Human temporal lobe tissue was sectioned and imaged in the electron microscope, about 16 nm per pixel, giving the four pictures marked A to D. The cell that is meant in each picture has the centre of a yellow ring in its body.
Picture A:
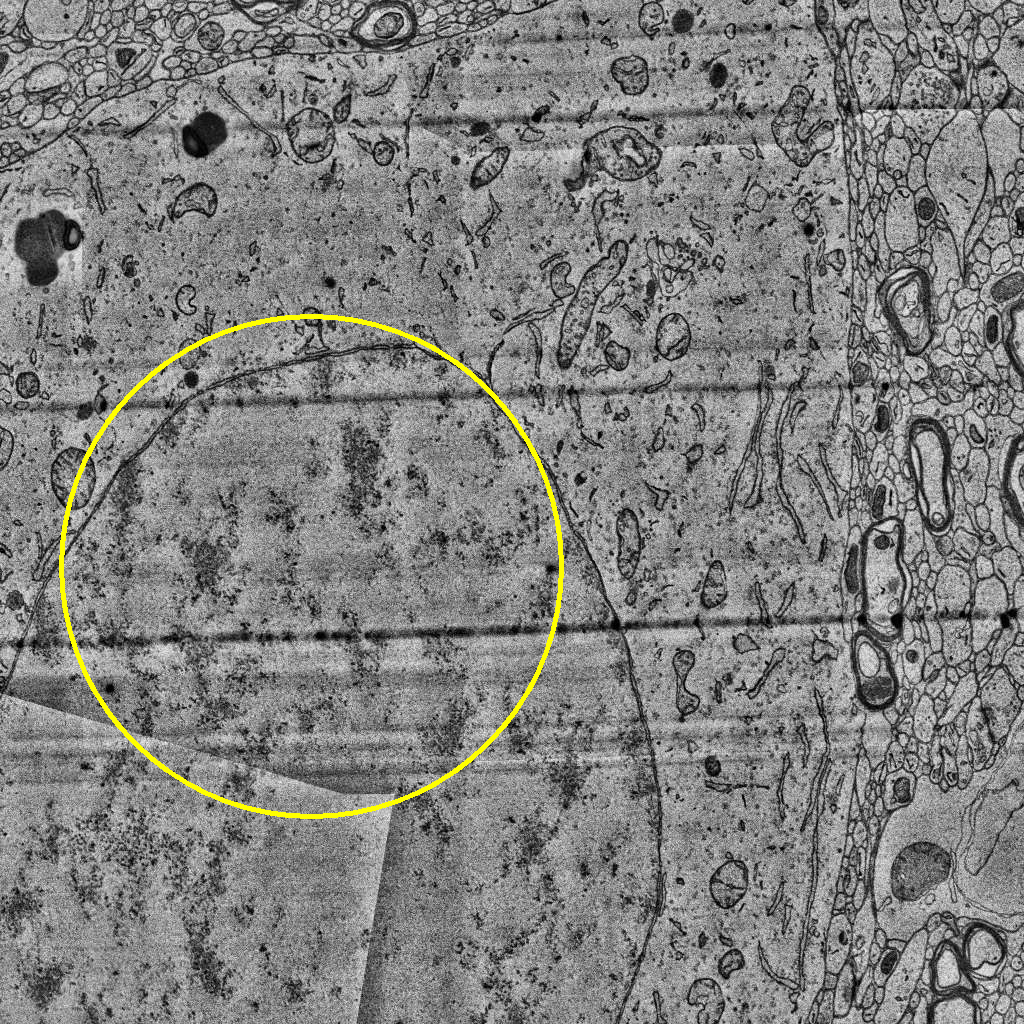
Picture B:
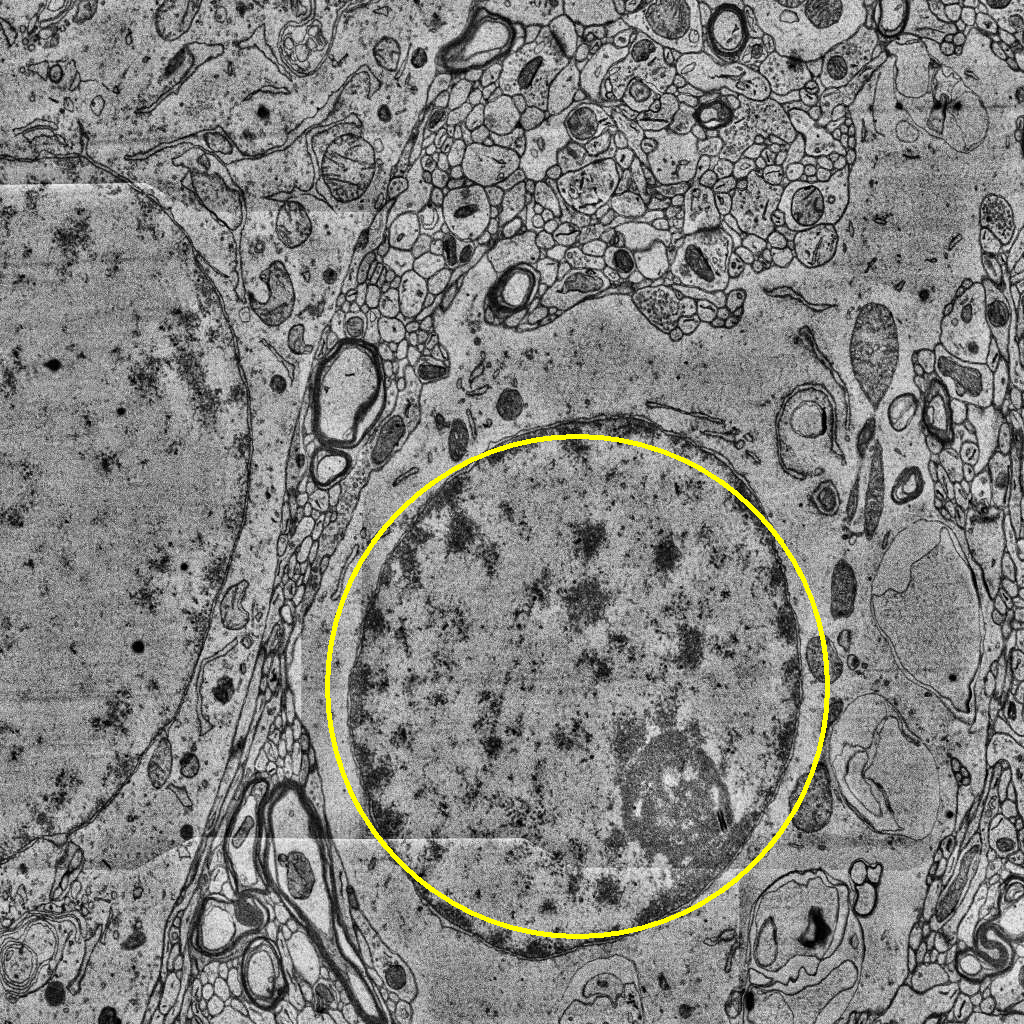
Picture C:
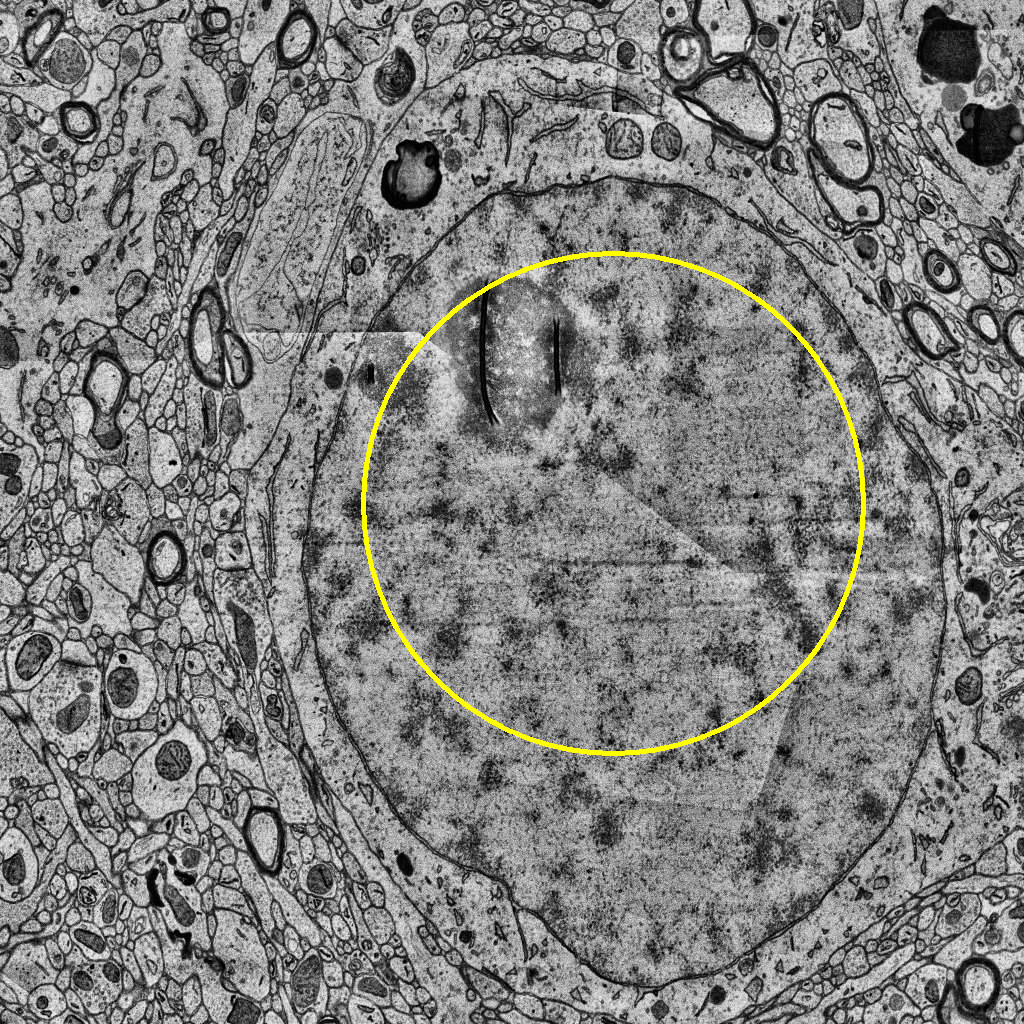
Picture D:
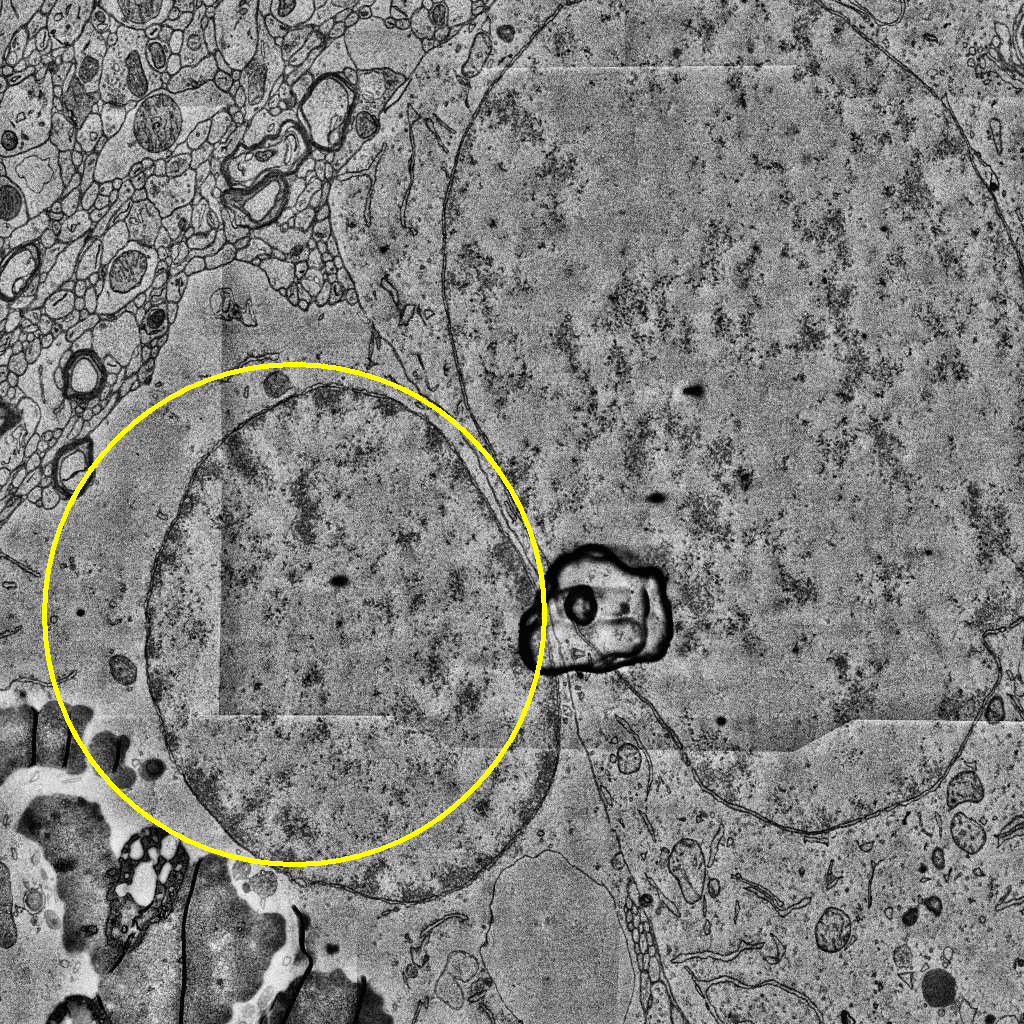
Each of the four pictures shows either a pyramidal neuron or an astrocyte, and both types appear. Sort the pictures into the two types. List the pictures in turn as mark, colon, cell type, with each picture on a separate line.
A: pyramidal neuron
B: astrocyte
C: pyramidal neuron
D: astrocyte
